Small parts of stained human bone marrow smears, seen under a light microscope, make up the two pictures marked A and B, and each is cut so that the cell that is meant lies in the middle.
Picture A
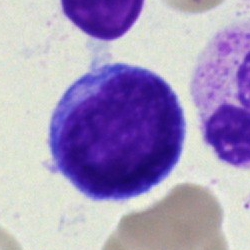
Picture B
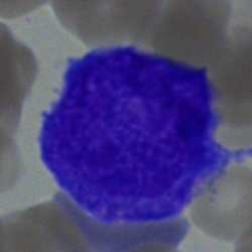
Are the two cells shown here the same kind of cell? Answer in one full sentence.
Yes, both cells are blasts.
